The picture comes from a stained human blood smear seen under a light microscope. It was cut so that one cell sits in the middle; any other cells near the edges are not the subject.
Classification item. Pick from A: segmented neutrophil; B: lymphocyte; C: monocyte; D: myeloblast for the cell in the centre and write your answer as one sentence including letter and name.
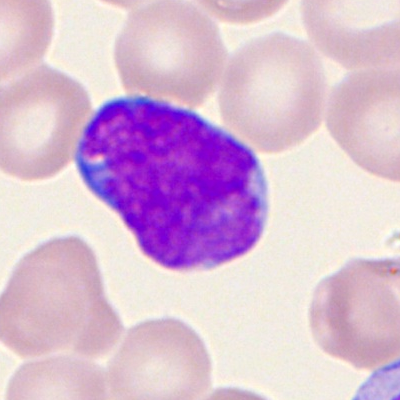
Option D is the right choice, the central cell being a myeloblast.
